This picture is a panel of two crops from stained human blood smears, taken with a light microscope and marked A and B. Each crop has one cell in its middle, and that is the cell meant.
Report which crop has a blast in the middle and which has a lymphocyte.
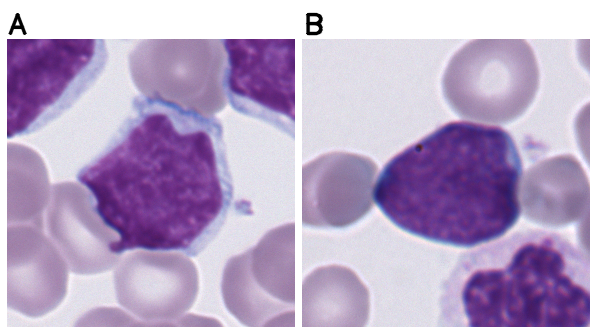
A: lymphocyte
B: blast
